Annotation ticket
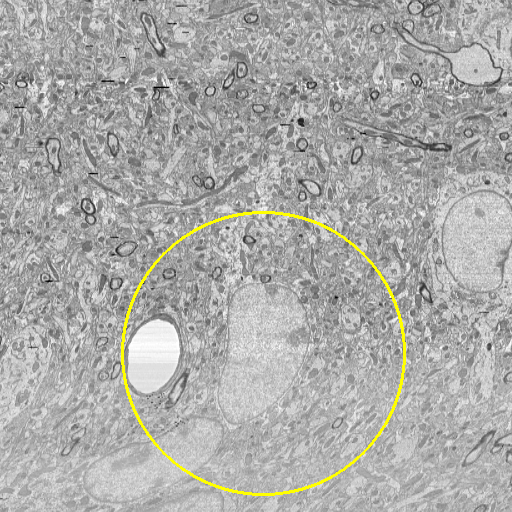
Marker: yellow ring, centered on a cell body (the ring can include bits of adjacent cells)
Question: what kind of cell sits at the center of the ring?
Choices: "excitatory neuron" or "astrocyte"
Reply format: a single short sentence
The ring is centered on an astrocyte.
